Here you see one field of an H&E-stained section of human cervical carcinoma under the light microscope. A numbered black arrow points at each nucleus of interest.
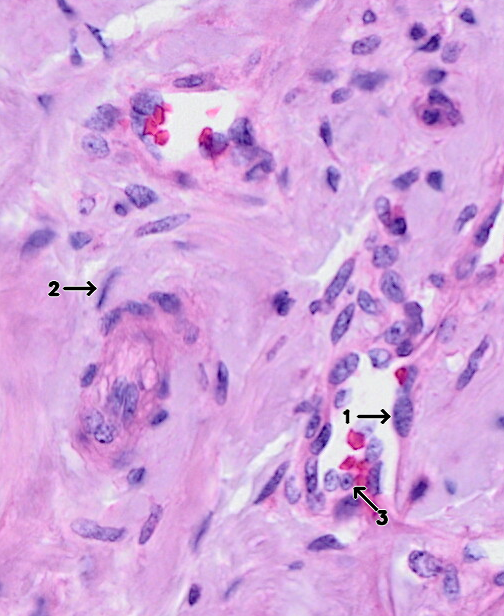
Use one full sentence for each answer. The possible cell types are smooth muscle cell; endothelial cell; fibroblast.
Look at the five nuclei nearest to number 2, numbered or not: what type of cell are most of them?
The majority of the five nuclei closest to number 2 belong to smooth muscle cells.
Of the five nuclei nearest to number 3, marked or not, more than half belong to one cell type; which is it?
Most of the five nuclei nearest to number 3 are those of endothelial cells.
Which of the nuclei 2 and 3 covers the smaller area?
It is nucleus 3; nucleus 2 has about 2 times its area.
